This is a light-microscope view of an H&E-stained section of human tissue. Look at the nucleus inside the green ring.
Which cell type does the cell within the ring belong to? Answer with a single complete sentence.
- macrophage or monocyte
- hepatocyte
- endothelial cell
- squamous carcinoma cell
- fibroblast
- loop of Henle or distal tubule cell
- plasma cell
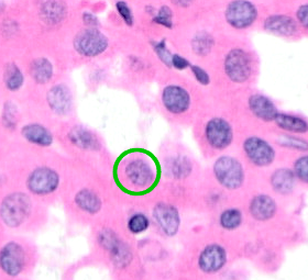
The cell within the ring appears to be a loop of Henle or distal tubule cell.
